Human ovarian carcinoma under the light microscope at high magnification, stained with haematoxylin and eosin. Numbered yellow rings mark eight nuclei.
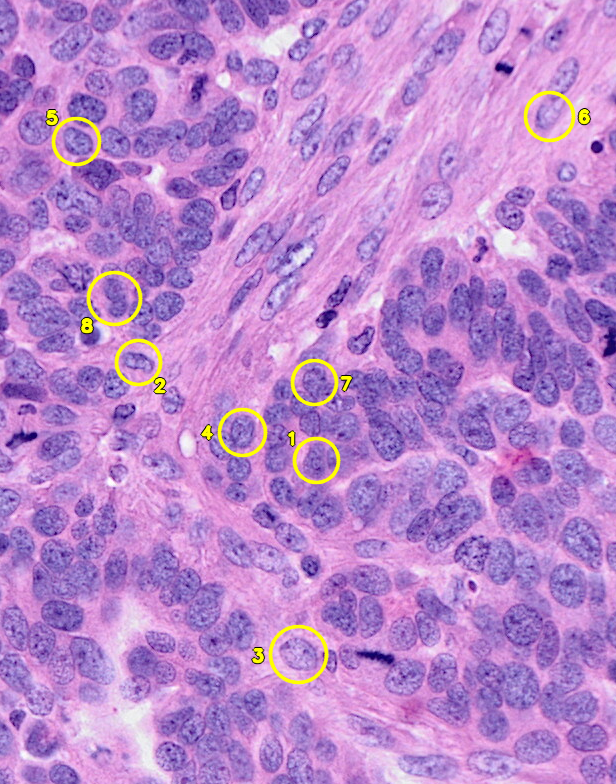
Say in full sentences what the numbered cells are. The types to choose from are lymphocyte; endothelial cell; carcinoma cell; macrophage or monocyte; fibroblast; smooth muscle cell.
Cell 1 is a carcinoma cell, cell 2 is a fibroblast, cell 3 is a fibroblast, cell 4 is a carcinoma cell, cell 5 is a carcinoma cell, cell 6 is a fibroblast, cell 7 is a carcinoma cell and cell 8 is a carcinoma cell.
